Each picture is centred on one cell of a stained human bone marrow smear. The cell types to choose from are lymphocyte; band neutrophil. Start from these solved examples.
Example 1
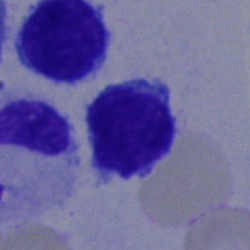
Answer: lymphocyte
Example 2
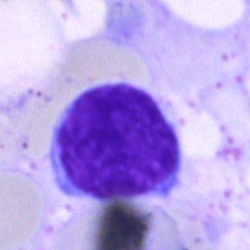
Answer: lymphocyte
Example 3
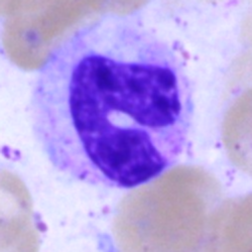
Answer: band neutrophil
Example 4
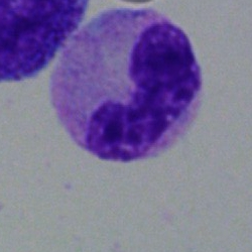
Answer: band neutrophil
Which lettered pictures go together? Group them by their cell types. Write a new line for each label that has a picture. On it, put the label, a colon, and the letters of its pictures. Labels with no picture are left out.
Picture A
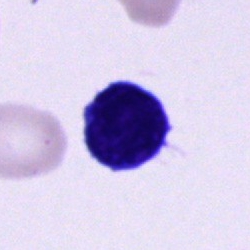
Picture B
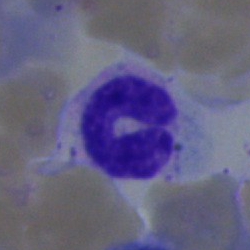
lymphocyte: A
band neutrophil: B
